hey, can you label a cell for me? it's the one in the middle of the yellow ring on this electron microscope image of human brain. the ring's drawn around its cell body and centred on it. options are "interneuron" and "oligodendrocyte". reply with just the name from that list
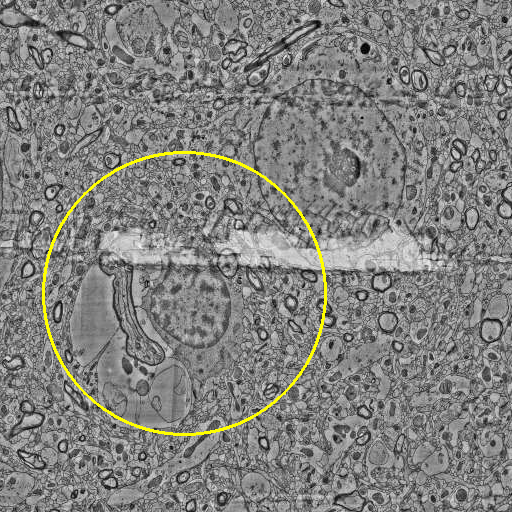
oligodendrocyte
